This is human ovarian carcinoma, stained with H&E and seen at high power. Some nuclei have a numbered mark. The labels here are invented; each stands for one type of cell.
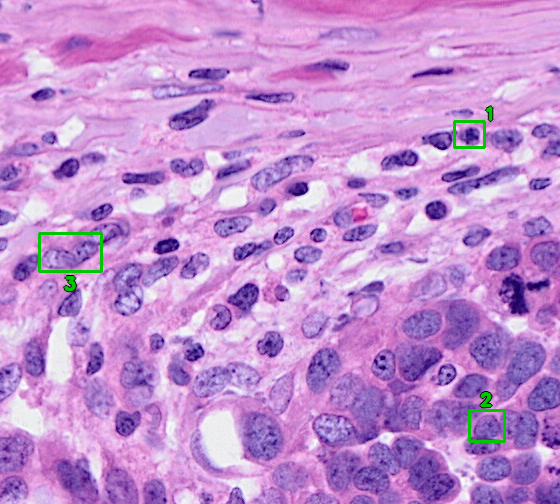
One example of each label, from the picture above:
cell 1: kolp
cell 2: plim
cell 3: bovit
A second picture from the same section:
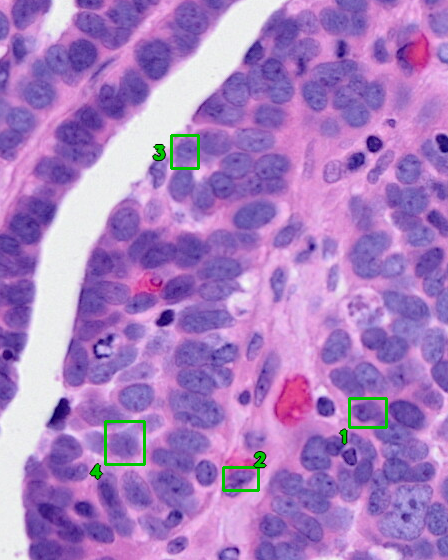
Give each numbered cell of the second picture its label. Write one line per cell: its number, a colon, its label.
1: plim
2: bovit
3: plim
4: plim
